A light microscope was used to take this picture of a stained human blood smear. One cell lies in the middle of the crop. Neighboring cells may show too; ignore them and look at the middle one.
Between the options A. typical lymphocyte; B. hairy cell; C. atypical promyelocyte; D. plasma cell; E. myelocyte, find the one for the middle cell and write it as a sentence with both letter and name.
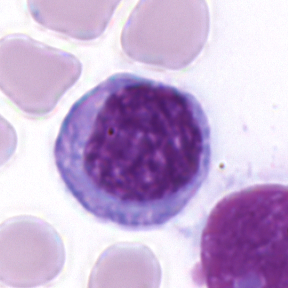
The centrally located cell is a plasma cell, making option D the correct choice.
